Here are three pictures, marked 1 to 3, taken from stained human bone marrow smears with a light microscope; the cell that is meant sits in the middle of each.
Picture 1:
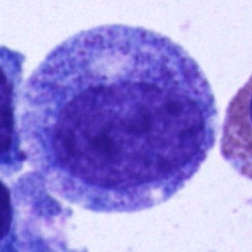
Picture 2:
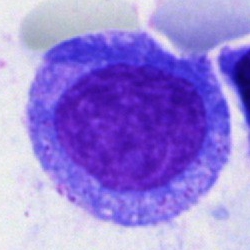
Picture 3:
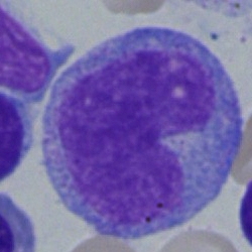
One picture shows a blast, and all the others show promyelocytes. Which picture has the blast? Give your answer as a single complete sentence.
The cell in picture 2 is the blast.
